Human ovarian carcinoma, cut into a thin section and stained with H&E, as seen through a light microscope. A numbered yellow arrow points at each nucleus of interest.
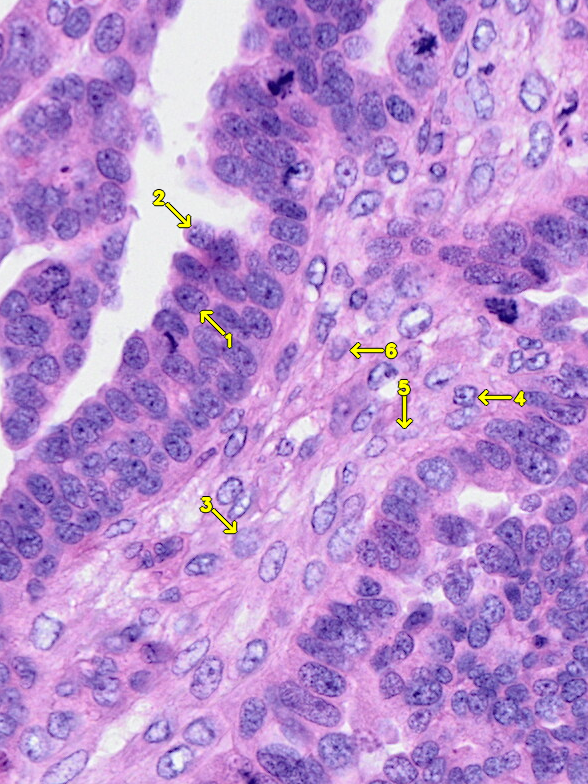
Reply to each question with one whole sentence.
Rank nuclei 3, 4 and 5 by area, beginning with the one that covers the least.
By area, going up from the smallest, they rank 5, 4, 3.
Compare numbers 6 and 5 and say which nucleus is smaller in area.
Number 5 is smaller, since number 6 takes up about 1.5 times as much area.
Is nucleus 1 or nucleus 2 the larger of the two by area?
Of the two, number 1 is bigger and takes up about 1.5 times the area of number 2.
